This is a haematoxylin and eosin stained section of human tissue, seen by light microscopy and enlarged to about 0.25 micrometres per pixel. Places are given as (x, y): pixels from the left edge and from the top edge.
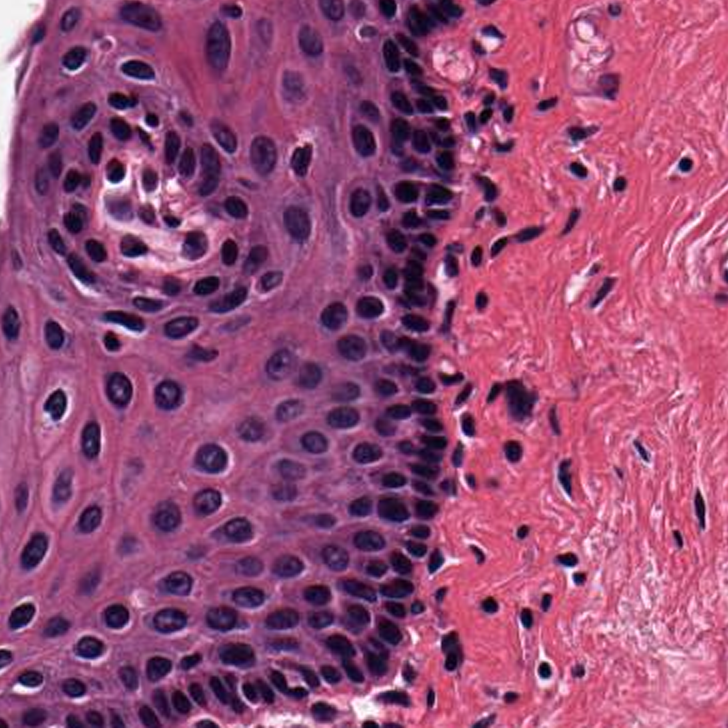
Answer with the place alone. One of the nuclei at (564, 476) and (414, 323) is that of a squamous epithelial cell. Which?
(414, 323)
